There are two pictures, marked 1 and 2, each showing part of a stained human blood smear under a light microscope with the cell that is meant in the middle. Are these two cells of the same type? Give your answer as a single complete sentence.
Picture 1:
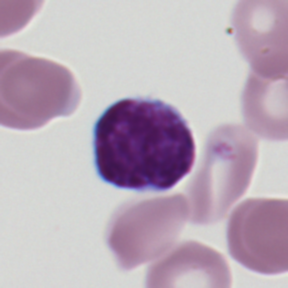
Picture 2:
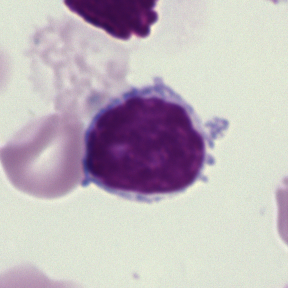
Yes, they are the same type: both are typical lymphocytes.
